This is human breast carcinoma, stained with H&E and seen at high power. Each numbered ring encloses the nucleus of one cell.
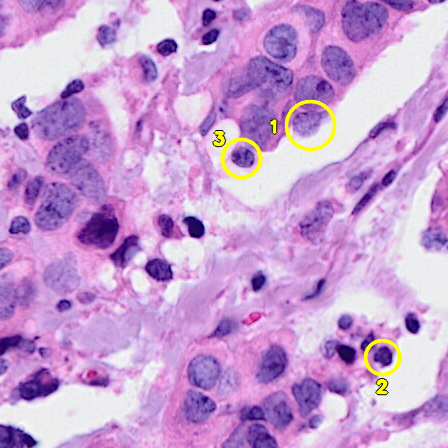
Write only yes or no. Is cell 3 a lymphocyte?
yes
